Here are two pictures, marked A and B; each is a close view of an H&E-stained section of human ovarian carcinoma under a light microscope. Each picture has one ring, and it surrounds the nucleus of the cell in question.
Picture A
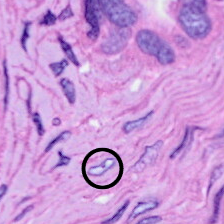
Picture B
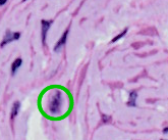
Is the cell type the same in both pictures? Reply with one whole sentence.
Yes, both cells are fibroblasts.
